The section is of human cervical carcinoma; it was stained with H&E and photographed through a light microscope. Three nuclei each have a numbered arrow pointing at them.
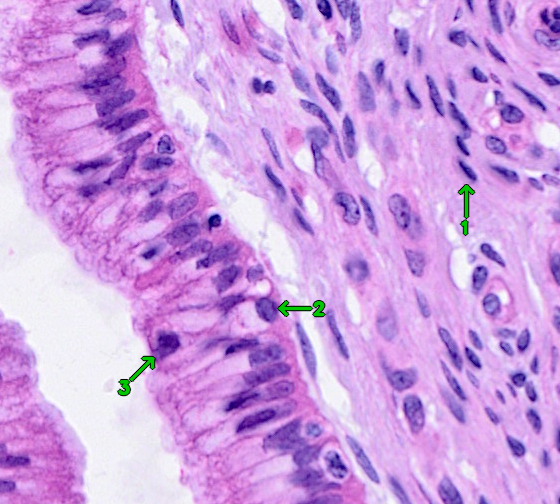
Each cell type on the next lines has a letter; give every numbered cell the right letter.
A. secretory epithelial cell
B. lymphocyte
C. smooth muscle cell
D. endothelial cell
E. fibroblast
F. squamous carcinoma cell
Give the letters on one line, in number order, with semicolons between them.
E; A; A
